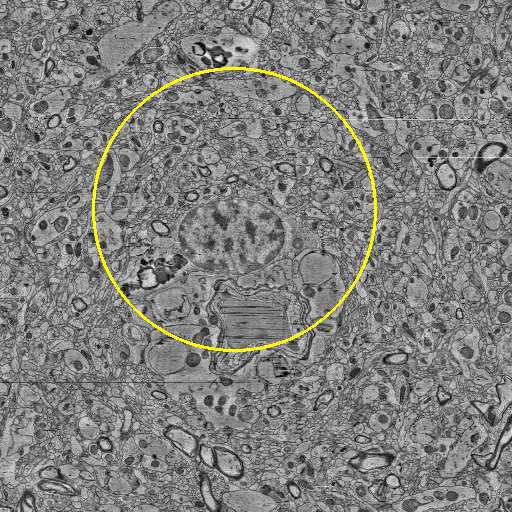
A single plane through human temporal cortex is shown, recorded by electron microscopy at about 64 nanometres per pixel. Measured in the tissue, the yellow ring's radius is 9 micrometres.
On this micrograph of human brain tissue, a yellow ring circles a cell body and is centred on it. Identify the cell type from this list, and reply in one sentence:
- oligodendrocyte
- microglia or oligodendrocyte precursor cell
The cell at the centre is an oligodendrocyte.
